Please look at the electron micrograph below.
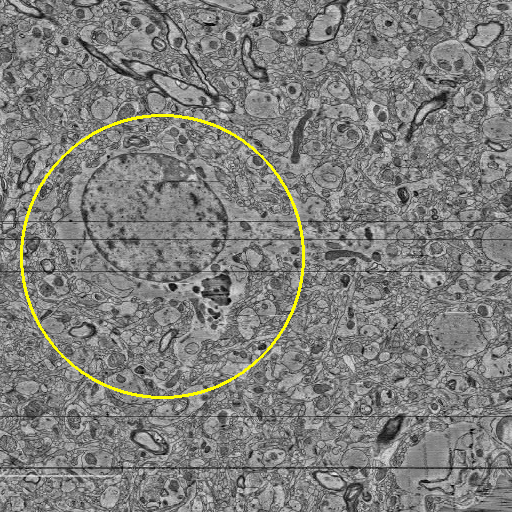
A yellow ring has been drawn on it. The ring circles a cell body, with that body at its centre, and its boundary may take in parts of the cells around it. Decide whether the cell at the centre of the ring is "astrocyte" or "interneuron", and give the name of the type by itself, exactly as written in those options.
astrocyte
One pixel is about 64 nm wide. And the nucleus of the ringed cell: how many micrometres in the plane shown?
The nucleus has a long axis of about 10 micrometres and a short axis of about 8 micrometres in this plane.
